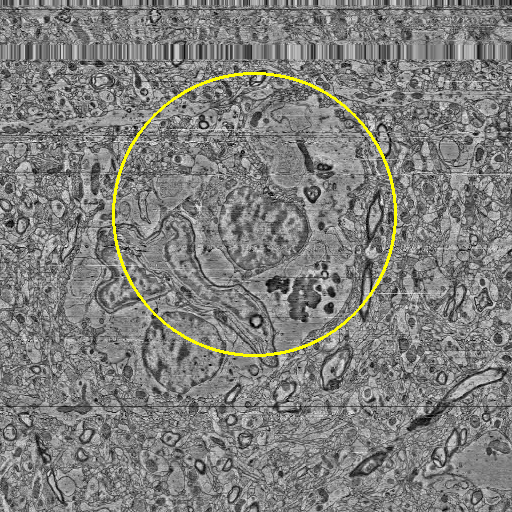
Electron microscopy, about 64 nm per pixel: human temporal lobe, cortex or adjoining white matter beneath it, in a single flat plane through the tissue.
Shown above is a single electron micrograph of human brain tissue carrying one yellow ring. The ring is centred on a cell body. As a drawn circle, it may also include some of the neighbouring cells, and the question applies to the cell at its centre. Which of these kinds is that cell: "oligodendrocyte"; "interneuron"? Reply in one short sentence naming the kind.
The cell marked by the ring is an oligodendrocyte.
